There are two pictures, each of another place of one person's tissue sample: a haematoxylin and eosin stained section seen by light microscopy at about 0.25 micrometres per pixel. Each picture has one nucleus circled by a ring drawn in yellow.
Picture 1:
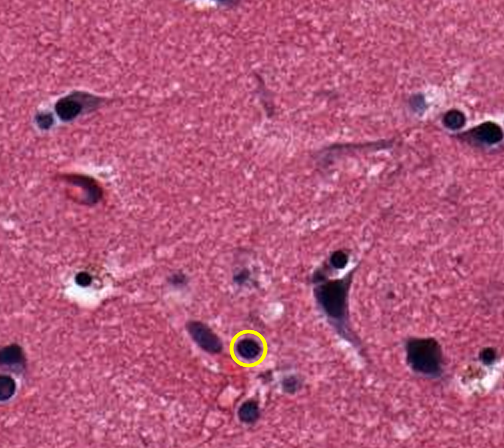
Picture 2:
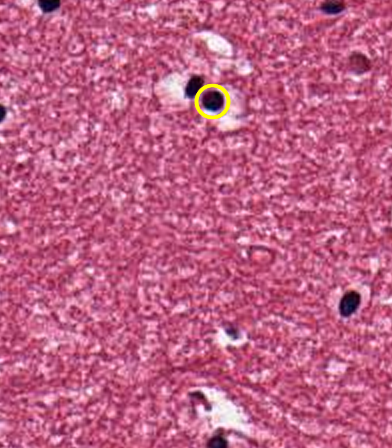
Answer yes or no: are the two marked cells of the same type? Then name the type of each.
Yes, both are oligodendrocytes.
